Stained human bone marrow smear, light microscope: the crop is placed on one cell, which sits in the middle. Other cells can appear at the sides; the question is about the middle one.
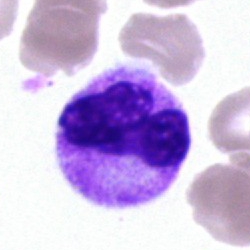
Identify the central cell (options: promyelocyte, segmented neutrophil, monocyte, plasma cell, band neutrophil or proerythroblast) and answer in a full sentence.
The cell of interest, in the center, is a segmented neutrophil.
